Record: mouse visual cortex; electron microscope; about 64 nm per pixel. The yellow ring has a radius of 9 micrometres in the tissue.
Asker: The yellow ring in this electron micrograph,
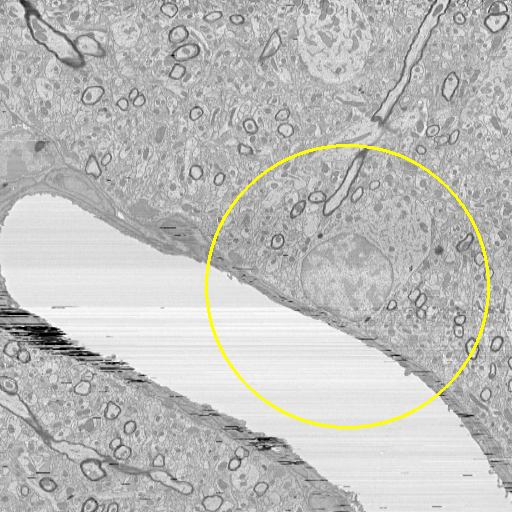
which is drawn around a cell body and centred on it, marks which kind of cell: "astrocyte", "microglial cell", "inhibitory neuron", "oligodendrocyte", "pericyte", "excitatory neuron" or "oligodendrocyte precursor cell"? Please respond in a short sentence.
The marked cell is an oligodendrocyte.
